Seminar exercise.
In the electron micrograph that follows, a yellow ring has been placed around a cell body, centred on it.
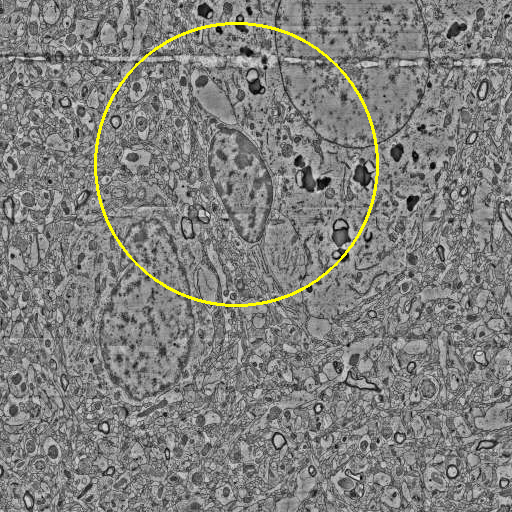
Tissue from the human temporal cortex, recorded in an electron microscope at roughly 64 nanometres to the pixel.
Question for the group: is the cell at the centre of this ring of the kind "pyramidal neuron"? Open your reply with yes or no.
No, the cell in the ring's centre is of another kind.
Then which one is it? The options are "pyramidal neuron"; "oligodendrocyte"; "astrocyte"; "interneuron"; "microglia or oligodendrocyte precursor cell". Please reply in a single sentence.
The answer is that the ringed cell is a microglial cell or oligodendrocyte precursor cell.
